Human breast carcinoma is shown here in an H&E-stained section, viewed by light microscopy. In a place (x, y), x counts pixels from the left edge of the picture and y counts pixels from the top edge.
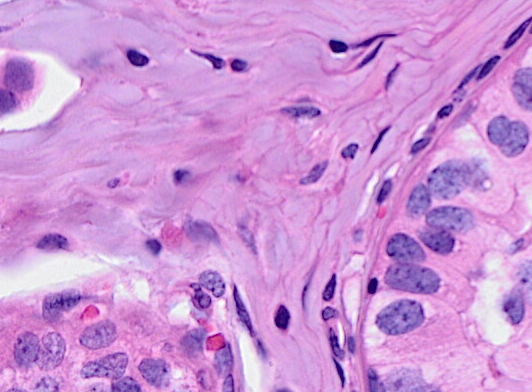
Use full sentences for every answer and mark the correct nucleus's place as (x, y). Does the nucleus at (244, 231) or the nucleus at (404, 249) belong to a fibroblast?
The one nucleus of the two that belongs to a fibroblast is at (244, 231).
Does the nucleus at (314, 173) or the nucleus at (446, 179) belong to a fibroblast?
The nucleus that belongs to a fibroblast is located at (314, 173).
